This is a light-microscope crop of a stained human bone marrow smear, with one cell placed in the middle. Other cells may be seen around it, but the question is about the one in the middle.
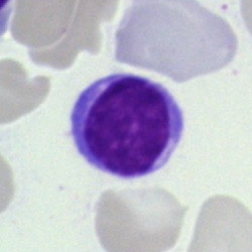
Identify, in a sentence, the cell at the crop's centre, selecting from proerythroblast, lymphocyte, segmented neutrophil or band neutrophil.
The cell in the exact centre of the crop is a lymphocyte.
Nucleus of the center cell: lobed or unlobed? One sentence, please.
The nucleus holds together as a single compact mass, round, oval or kidney-like.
